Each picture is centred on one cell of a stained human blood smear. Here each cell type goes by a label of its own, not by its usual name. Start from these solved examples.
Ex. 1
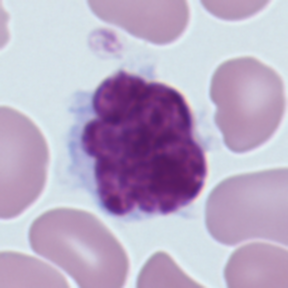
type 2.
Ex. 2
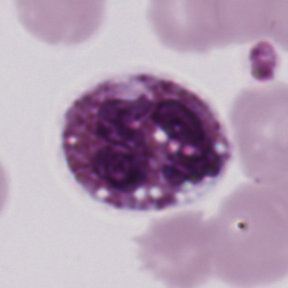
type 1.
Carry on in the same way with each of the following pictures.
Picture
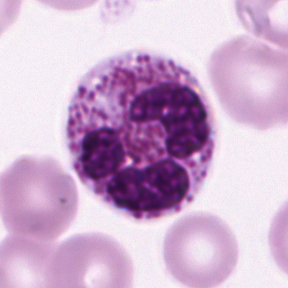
type 1.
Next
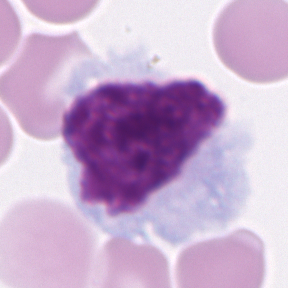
type 2.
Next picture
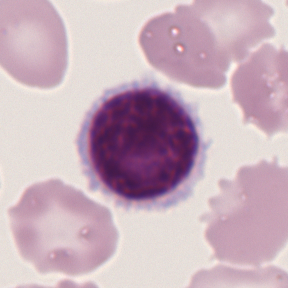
type 2.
